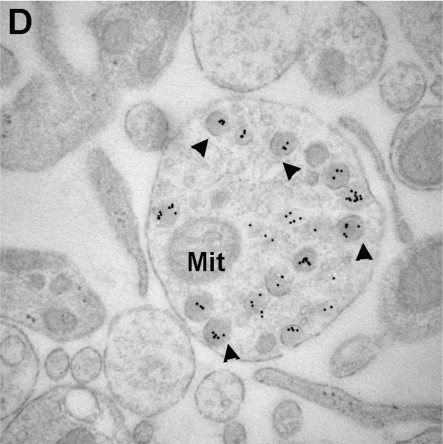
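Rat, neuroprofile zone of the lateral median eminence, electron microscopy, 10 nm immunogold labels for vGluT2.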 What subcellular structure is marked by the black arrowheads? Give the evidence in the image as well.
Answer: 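Many round vesicles with dark cores fill a rounded profile. Gold particles cluster over the vesicles.
Large dense-core vesicles.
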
